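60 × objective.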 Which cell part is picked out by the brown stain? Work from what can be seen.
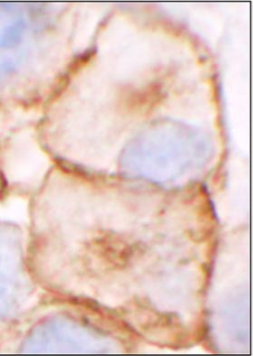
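A thin brown line runs around the whole outline of each large cell. The nuclei inside are blue and unstained. That points to this answer: cell membrane.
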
